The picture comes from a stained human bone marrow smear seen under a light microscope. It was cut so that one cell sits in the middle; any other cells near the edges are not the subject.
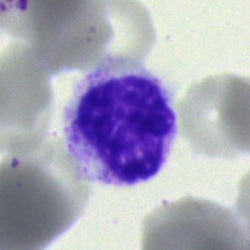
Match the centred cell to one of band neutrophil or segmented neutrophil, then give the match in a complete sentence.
This crop's central cell is a band neutrophil.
